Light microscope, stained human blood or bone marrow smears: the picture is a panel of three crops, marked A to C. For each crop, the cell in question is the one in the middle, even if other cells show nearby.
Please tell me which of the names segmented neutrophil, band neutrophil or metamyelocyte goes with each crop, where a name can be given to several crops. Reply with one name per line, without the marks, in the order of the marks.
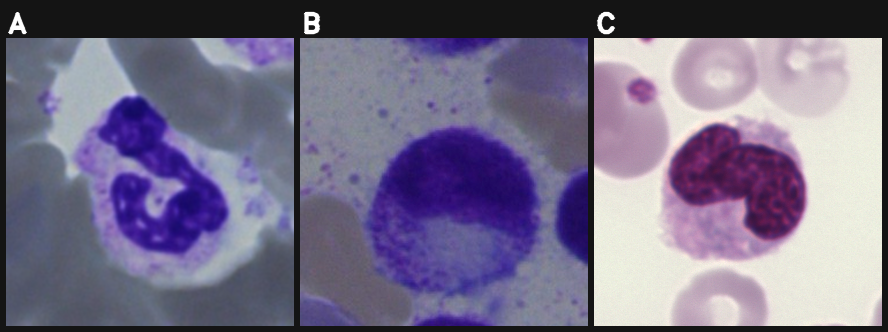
segmented neutrophil
metamyelocyte
band neutrophil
